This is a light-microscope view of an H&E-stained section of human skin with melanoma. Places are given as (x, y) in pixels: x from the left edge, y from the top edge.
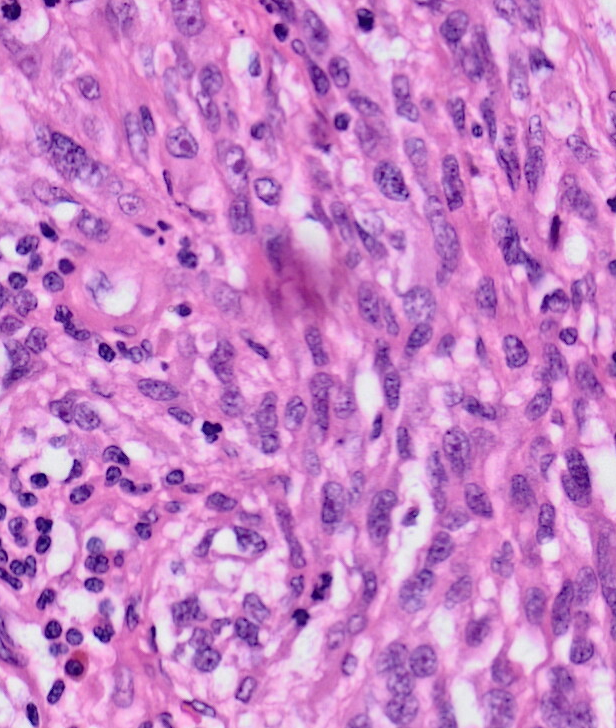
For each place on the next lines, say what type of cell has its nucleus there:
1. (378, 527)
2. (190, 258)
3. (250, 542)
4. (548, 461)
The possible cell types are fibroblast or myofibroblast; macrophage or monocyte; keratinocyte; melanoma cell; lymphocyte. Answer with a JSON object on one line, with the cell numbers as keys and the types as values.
{"1": "melanoma cell", "2": "lymphocyte", "3": "melanoma cell", "4": "melanoma cell"}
